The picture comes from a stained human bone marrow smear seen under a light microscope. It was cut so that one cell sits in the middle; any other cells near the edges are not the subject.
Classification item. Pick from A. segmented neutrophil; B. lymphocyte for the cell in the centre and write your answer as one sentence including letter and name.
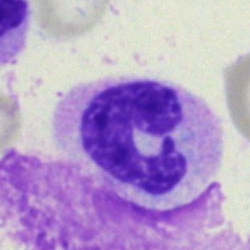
The correct option here is A; the middle cell is a segmented neutrophil.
